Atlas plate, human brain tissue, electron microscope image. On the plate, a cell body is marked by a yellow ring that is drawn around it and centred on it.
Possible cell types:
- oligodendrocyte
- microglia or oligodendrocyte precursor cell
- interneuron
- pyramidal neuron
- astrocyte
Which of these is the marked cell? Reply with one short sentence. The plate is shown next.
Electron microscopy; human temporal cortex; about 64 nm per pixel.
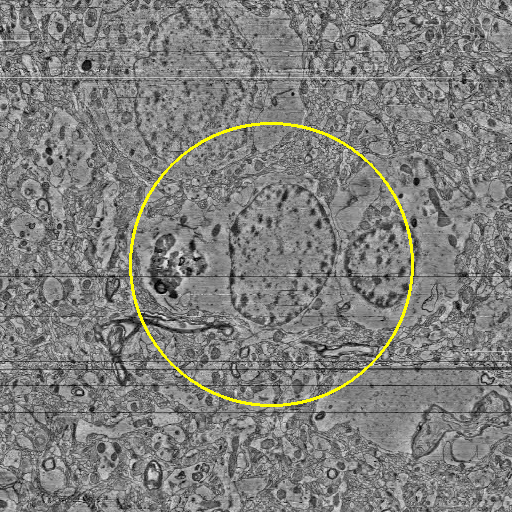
The marked cell is an astrocyte.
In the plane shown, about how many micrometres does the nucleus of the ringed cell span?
About 10 by 7 micrometers, in this plane.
